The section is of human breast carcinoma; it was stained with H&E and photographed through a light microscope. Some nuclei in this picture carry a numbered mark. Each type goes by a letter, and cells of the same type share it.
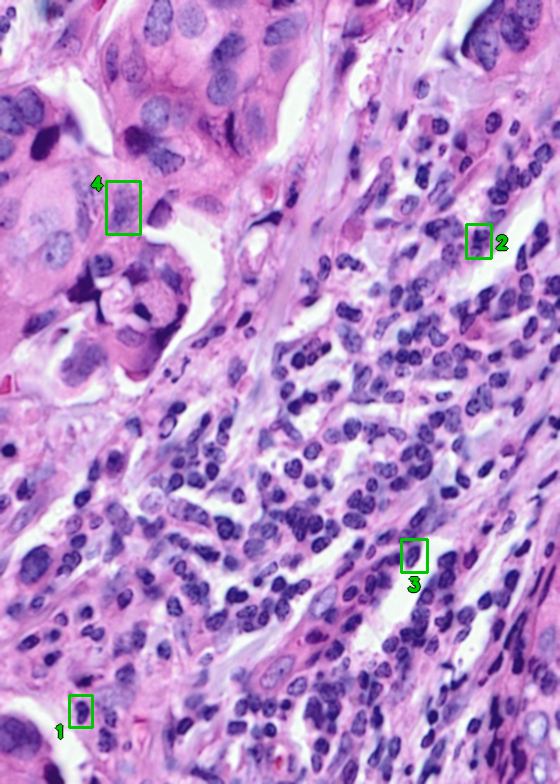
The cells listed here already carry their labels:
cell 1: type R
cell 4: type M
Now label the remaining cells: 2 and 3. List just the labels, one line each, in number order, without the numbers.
type R
type R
